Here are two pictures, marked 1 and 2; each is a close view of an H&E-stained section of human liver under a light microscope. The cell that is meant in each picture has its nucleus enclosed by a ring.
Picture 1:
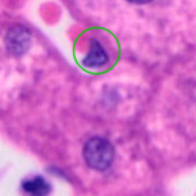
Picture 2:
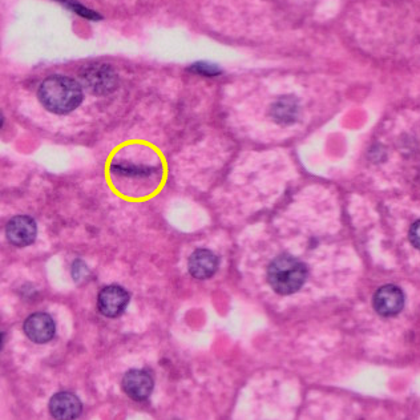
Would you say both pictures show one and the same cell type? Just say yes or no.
no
